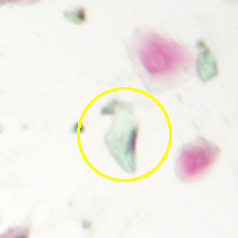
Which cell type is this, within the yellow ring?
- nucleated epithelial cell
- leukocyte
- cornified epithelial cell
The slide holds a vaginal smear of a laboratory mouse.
Within the ring is a cornified epithelial cell.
